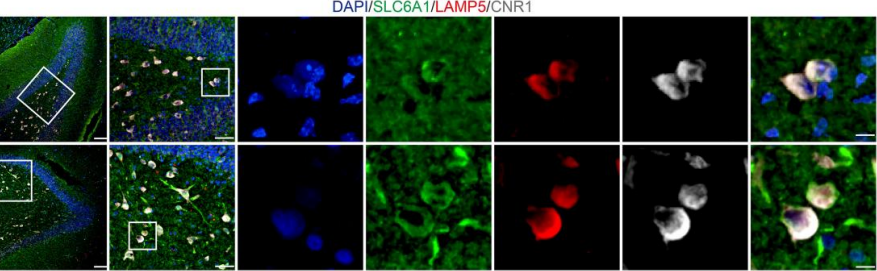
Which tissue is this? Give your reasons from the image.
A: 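The low-magnification fields show a curved, dense band of blue nuclei. Scattered single labelled cells lie near and beside that curved band.
Answer: hippocampus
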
